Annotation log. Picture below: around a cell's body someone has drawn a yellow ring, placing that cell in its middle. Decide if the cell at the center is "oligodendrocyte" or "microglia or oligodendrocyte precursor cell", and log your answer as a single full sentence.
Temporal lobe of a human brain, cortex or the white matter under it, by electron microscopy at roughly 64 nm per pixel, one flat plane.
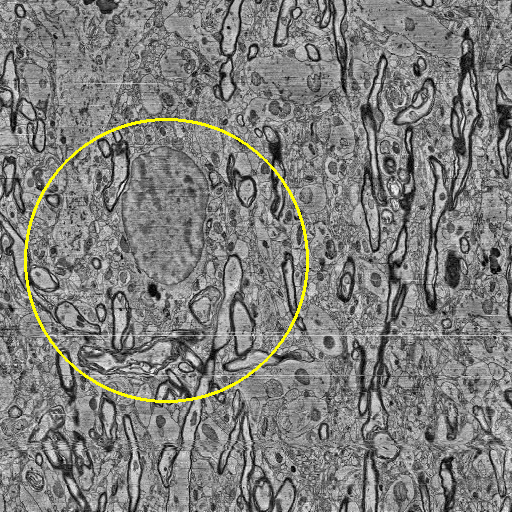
My entry records an oligodendrocyte as the cell sitting at the center of the yellow ring.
